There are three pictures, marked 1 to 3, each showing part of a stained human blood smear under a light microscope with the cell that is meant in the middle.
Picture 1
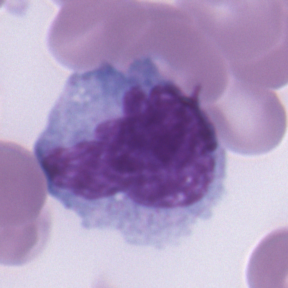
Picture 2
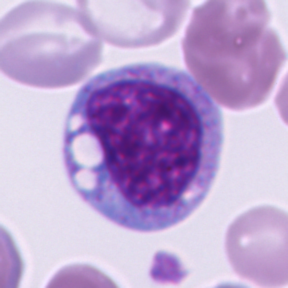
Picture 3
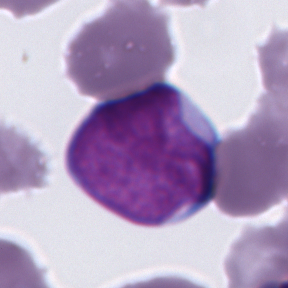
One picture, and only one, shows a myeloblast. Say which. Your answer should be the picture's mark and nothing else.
3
